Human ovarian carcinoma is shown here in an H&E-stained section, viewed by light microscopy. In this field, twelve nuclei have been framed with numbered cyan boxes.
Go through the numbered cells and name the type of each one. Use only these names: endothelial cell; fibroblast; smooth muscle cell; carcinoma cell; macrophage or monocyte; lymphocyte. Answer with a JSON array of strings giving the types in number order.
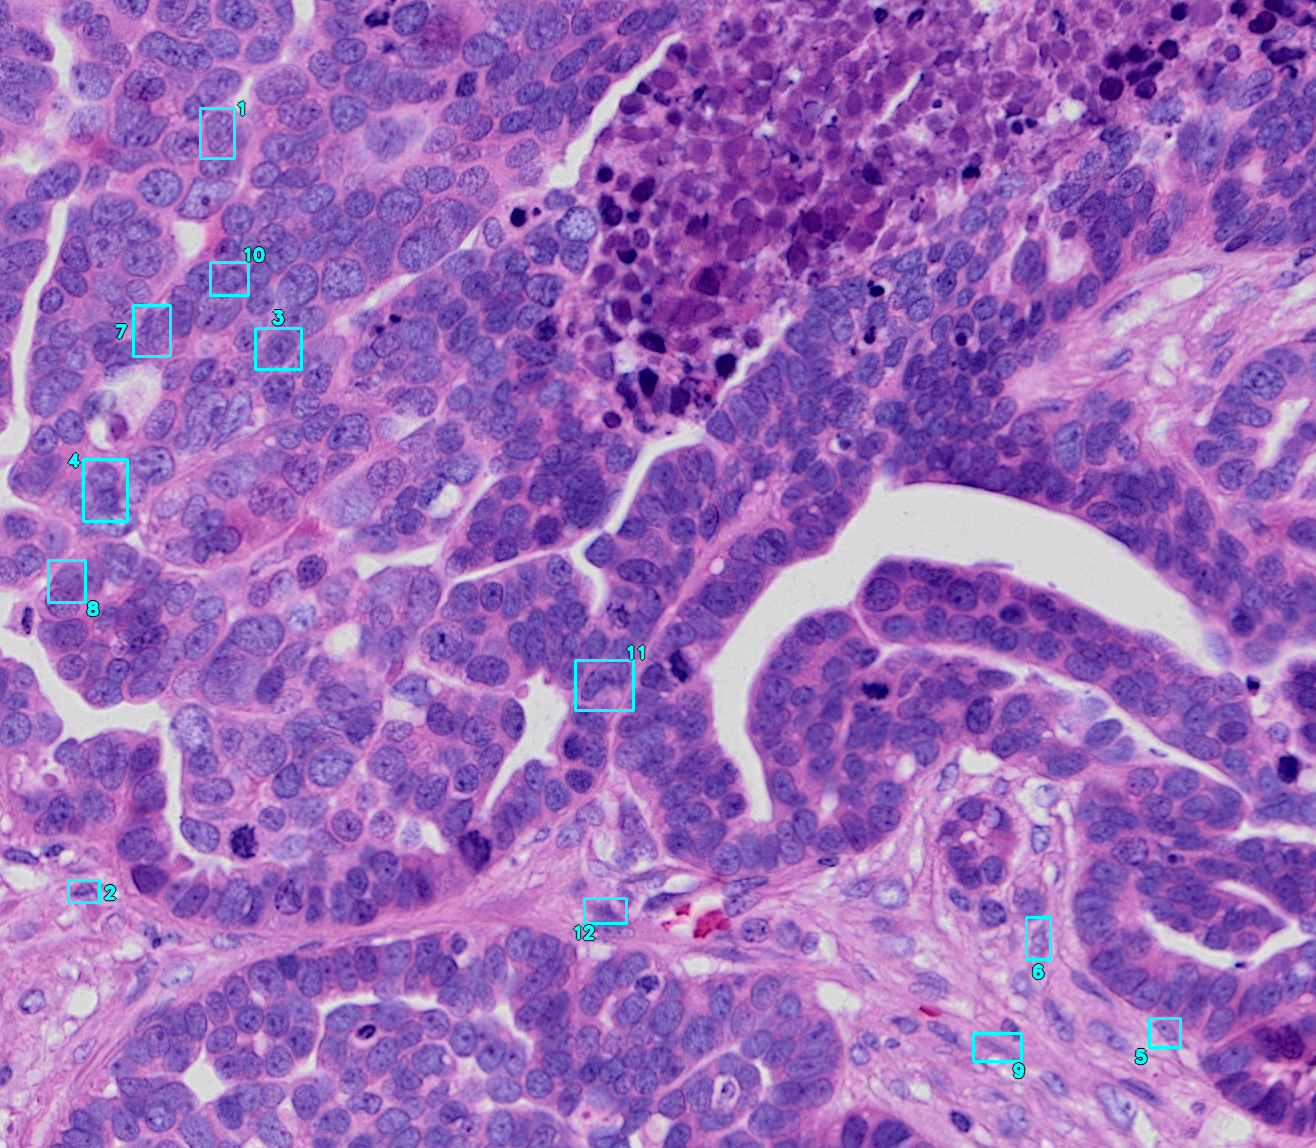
["carcinoma cell", "fibroblast", "carcinoma cell", "carcinoma cell", "fibroblast", "fibroblast", "carcinoma cell", "carcinoma cell", "fibroblast", "carcinoma cell", "carcinoma cell", "fibroblast"]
